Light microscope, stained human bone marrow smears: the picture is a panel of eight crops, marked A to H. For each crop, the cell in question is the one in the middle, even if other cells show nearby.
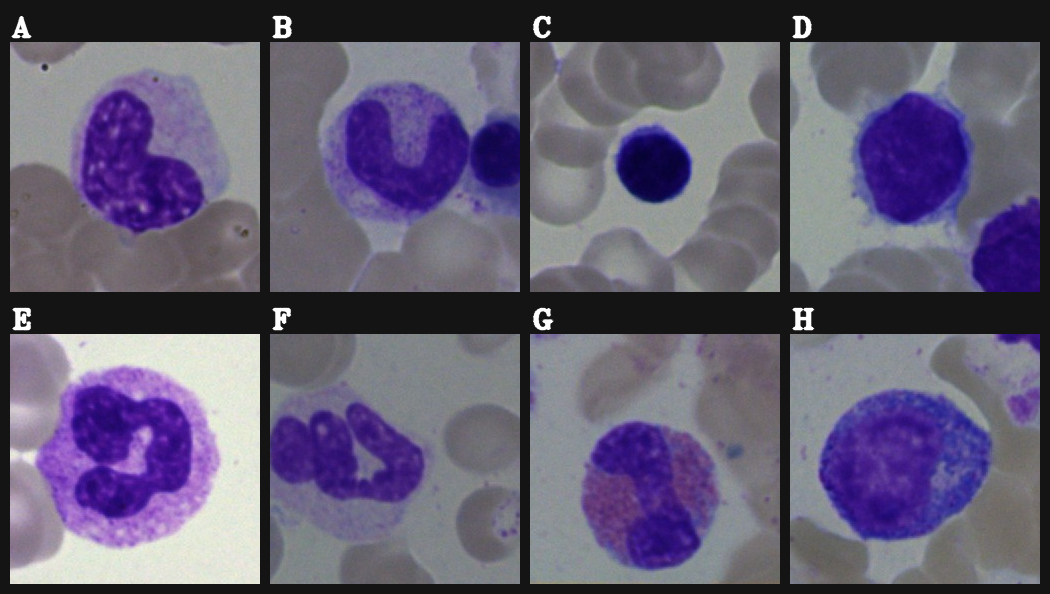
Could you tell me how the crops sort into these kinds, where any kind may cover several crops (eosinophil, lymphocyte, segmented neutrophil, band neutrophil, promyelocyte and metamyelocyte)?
A: band neutrophil
B: band neutrophil
C: lymphocyte
D: lymphocyte
E: segmented neutrophil
F: segmented neutrophil
G: eosinophil
H: promyelocyte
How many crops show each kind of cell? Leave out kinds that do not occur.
band neutrophil: 2
lymphocyte: 2
segmented neutrophil: 2
eosinophil: 1
promyelocyte: 1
